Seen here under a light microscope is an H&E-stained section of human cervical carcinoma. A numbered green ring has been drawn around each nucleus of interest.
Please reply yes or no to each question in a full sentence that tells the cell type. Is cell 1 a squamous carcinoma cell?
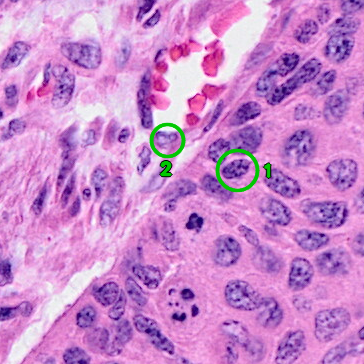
Yes, a squamous carcinoma cell is what the cell numbered 1 is.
